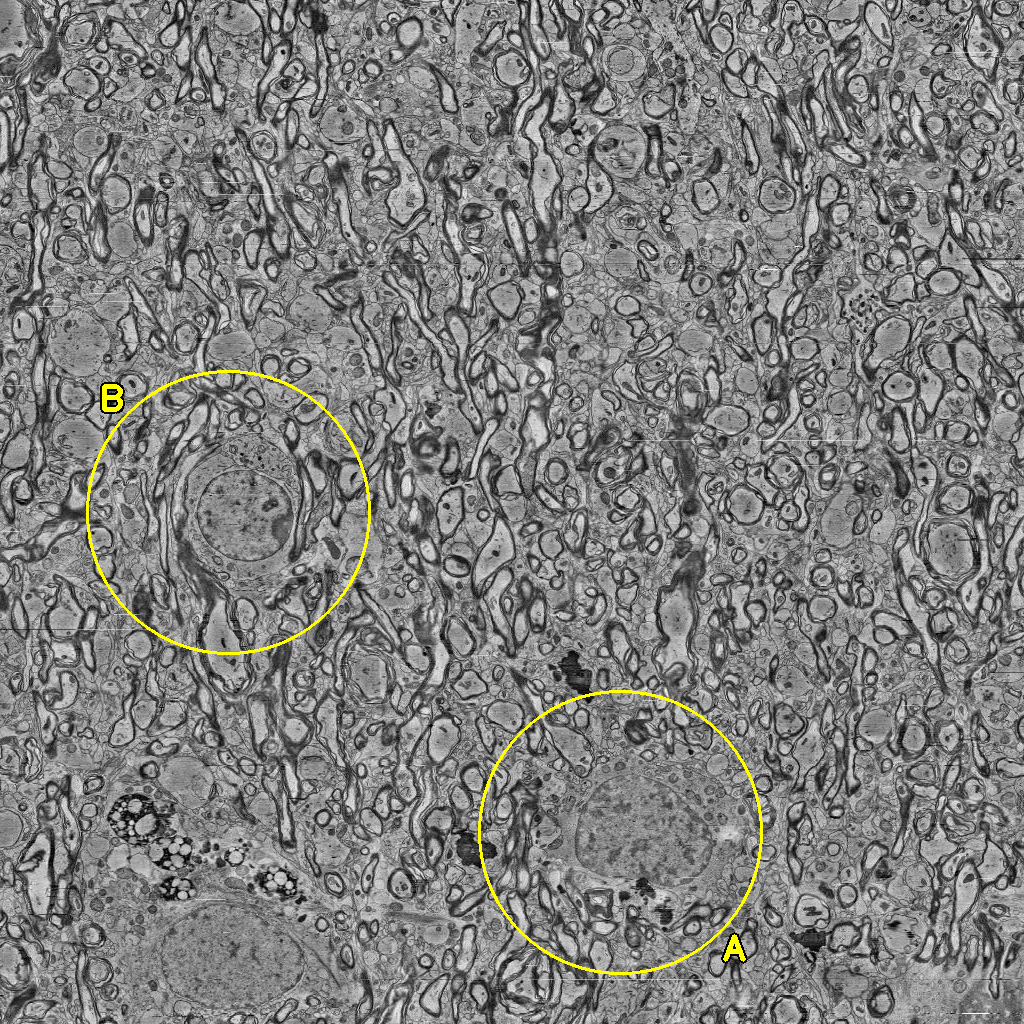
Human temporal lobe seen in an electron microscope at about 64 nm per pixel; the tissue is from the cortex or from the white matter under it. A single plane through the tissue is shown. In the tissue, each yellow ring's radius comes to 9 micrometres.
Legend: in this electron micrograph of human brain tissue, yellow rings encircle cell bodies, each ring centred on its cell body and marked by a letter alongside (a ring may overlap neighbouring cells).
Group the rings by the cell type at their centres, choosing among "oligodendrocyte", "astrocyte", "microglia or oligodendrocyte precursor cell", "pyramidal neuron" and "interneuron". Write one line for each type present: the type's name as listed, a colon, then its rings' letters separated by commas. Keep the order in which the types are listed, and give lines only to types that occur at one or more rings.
oligodendrocyte: A
microglia or oligodendrocyte precursor cell: B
